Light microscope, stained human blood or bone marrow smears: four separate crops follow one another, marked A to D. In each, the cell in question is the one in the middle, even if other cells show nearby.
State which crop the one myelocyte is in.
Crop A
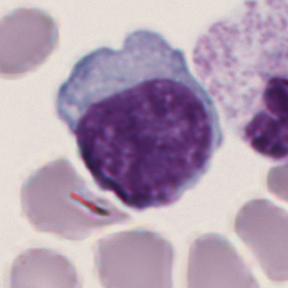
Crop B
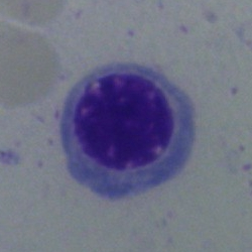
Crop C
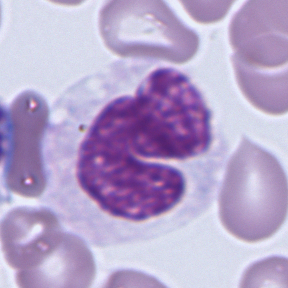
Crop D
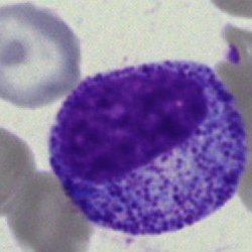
D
